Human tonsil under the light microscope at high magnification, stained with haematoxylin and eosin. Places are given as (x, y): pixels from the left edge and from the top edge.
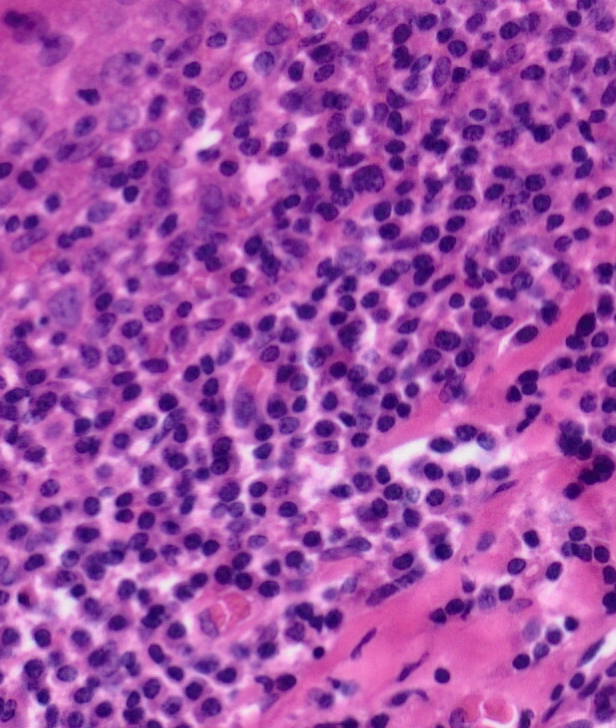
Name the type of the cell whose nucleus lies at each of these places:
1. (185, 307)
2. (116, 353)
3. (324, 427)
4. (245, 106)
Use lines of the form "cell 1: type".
cell 1: plasma cell
cell 2: plasma cell
cell 3: plasma cell
cell 4: squamous epithelial cell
